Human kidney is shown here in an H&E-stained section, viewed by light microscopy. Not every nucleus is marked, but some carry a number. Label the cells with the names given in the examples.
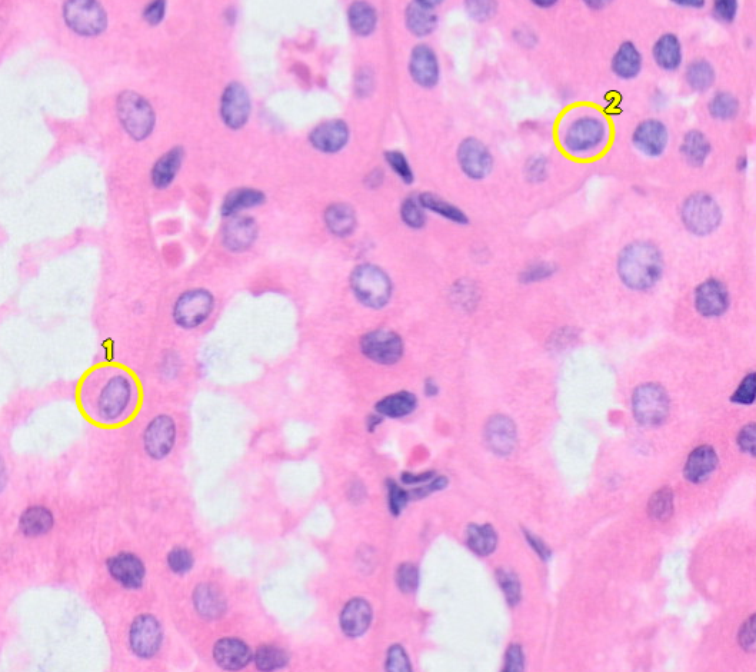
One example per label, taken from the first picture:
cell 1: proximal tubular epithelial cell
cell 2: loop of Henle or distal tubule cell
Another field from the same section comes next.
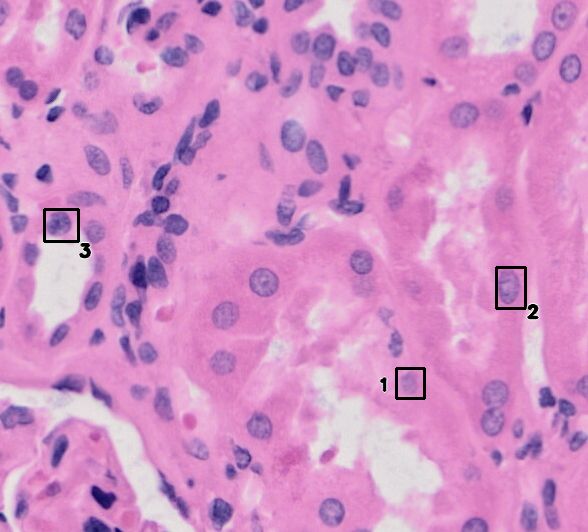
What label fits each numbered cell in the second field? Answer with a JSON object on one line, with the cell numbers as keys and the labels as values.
{"1": "proximal tubular epithelial cell", "2": "proximal tubular epithelial cell", "3": "loop of Henle or distal tubule cell"}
